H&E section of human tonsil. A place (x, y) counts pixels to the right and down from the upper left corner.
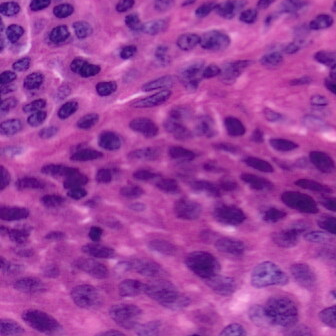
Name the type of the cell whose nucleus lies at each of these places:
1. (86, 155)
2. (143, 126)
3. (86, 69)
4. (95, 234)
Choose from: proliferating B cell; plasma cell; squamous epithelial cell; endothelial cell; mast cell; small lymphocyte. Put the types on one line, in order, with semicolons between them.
squamous epithelial cell; squamous epithelial cell; plasma cell; squamous epithelial cell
